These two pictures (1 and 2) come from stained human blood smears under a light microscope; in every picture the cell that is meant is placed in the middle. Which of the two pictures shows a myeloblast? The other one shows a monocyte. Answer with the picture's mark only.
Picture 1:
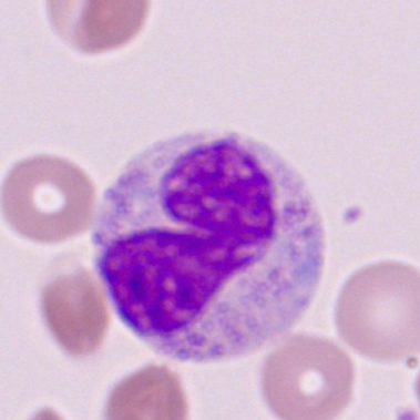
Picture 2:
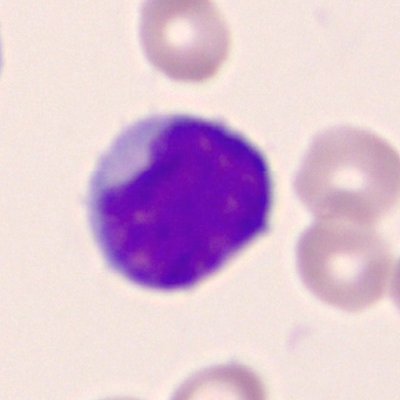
2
